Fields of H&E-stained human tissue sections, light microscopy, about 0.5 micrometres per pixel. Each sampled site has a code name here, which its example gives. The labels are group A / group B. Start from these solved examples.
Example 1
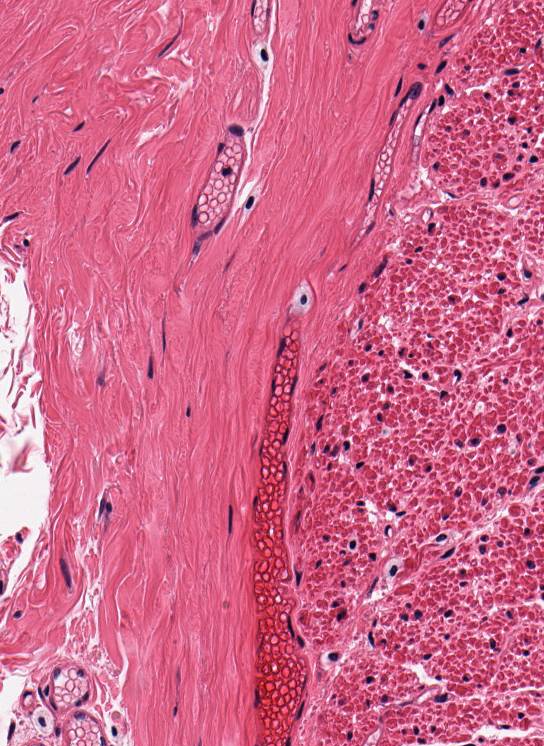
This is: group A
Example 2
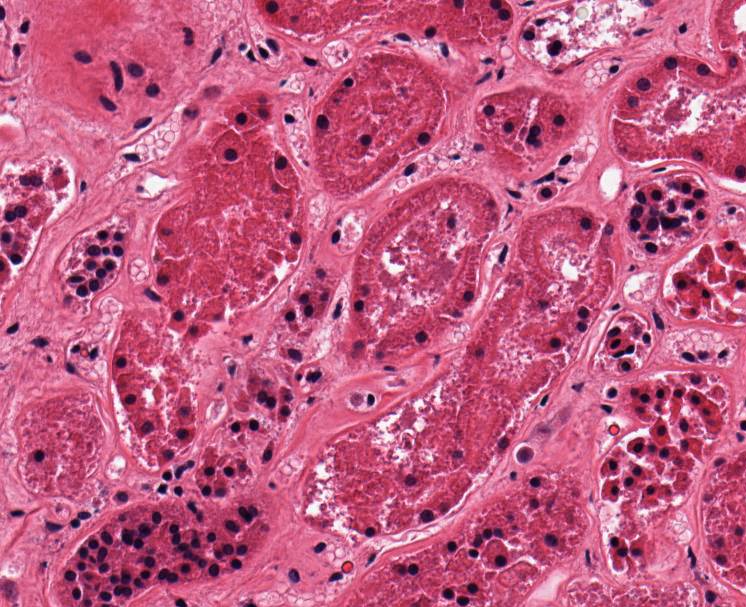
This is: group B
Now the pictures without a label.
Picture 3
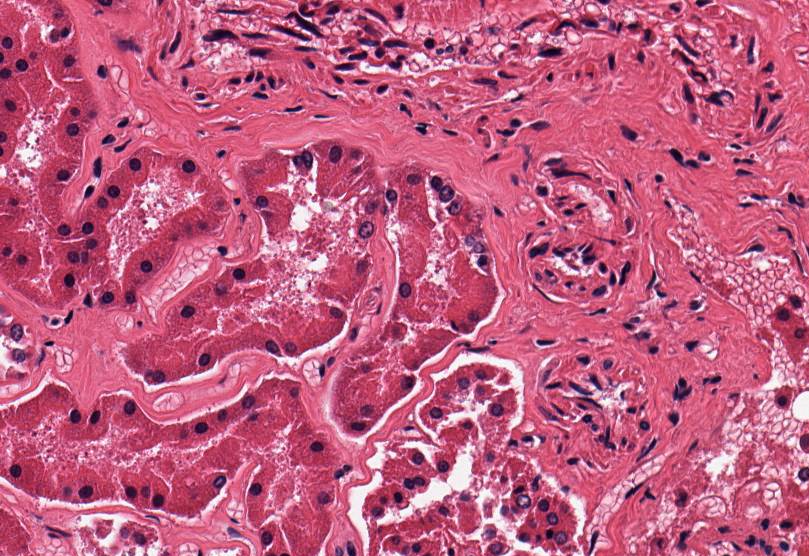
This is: group B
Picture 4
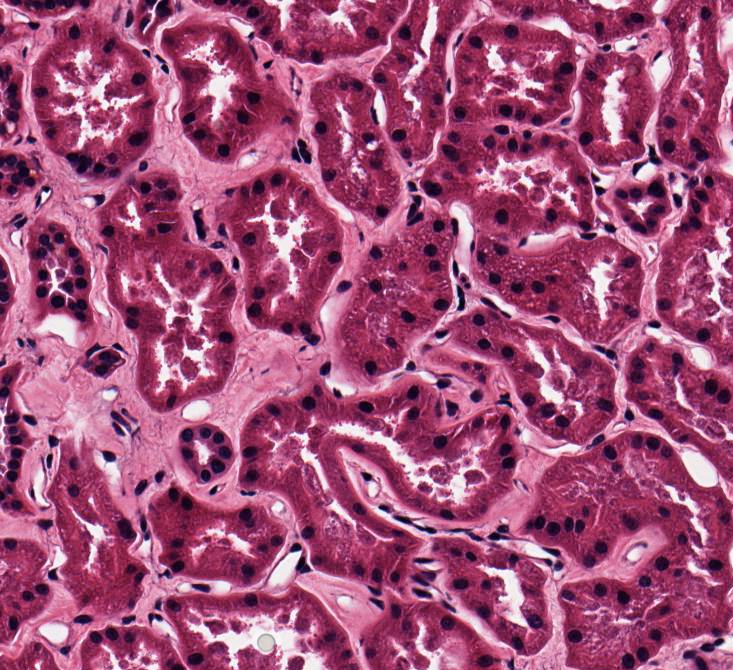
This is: group B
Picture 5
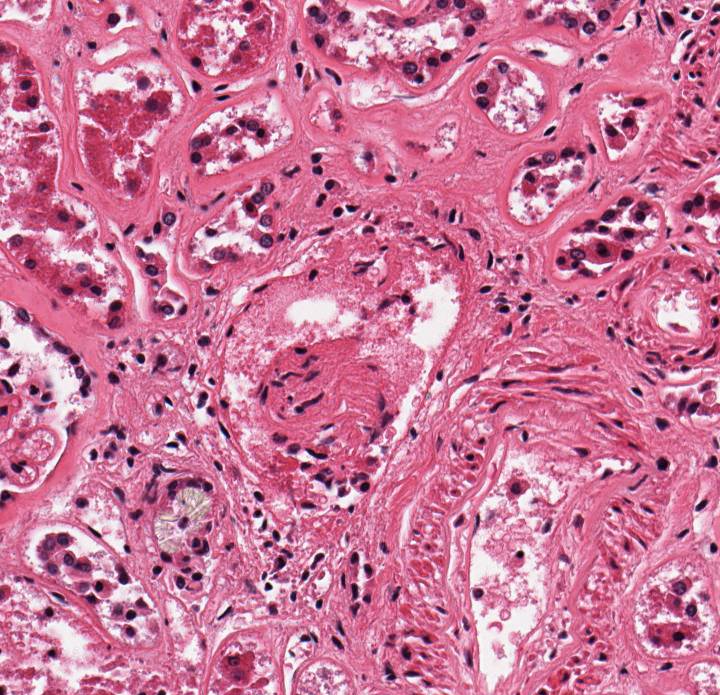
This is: group B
